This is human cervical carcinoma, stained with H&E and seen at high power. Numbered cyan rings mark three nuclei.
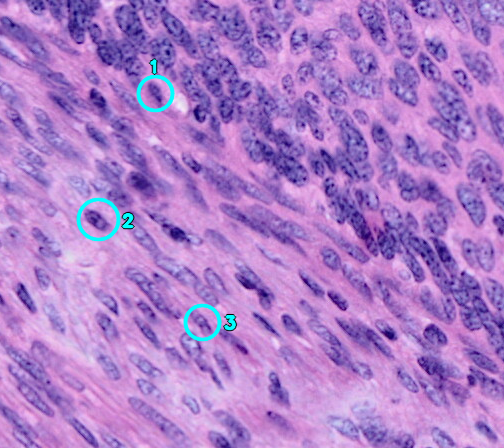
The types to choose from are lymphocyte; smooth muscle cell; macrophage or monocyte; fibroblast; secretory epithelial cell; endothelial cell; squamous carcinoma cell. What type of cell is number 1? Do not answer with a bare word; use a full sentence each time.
Corresponding to a squamous carcinoma cell is the cell labelled 1.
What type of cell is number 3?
The identity of cell 3 is that of a smooth muscle cell.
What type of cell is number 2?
At number 2, the marked cell is a lymphocyte.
